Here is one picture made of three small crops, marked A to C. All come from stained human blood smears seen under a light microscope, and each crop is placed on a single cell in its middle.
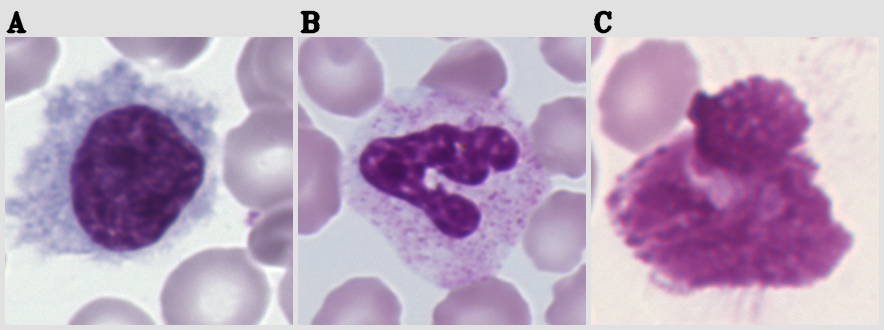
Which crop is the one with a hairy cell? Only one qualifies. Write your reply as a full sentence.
It is in crop A that a hairy cell is shown.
